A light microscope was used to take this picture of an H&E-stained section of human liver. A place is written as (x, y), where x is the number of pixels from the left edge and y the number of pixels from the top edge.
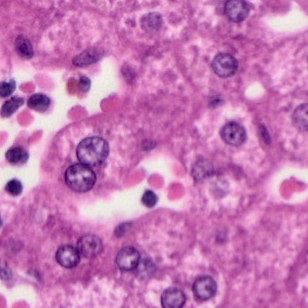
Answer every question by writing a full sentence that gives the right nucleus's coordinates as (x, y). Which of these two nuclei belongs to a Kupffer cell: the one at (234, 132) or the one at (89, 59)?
The nucleus at position (89, 59) belongs to a Kupffer cell.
